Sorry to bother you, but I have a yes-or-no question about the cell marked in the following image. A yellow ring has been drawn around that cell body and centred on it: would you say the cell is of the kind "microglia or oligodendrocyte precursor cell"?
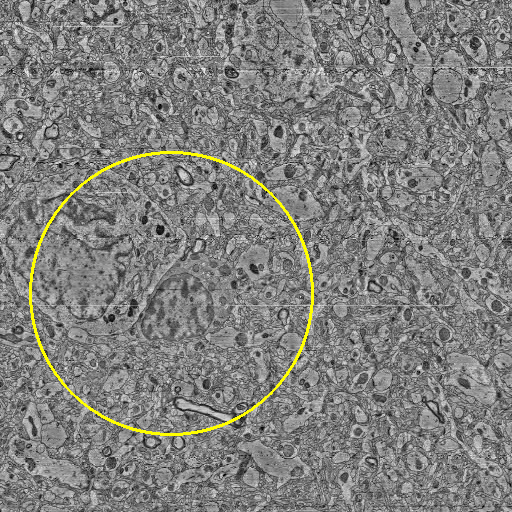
no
